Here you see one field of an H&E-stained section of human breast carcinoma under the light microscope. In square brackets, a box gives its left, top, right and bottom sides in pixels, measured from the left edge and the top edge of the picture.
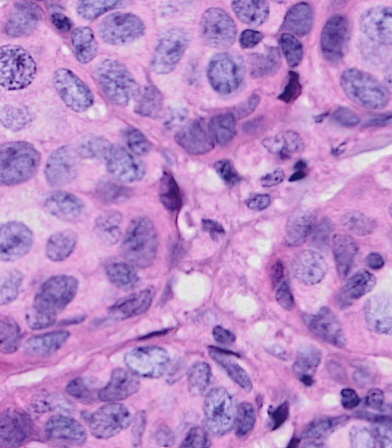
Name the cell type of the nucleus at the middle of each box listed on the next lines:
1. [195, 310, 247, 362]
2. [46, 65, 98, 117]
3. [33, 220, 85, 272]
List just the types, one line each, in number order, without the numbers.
lymphocyte
carcinoma cell
carcinoma cell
